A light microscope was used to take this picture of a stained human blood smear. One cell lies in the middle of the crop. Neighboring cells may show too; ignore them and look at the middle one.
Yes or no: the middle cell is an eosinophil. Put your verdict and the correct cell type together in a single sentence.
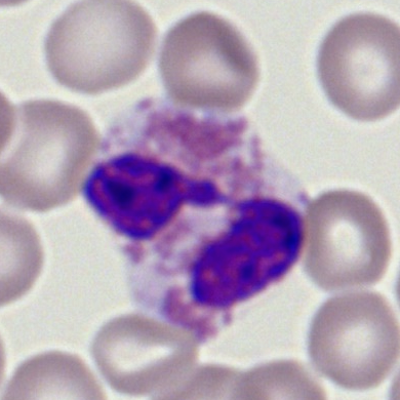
Yes, it is an eosinophil that is seen at the centre of the crop.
